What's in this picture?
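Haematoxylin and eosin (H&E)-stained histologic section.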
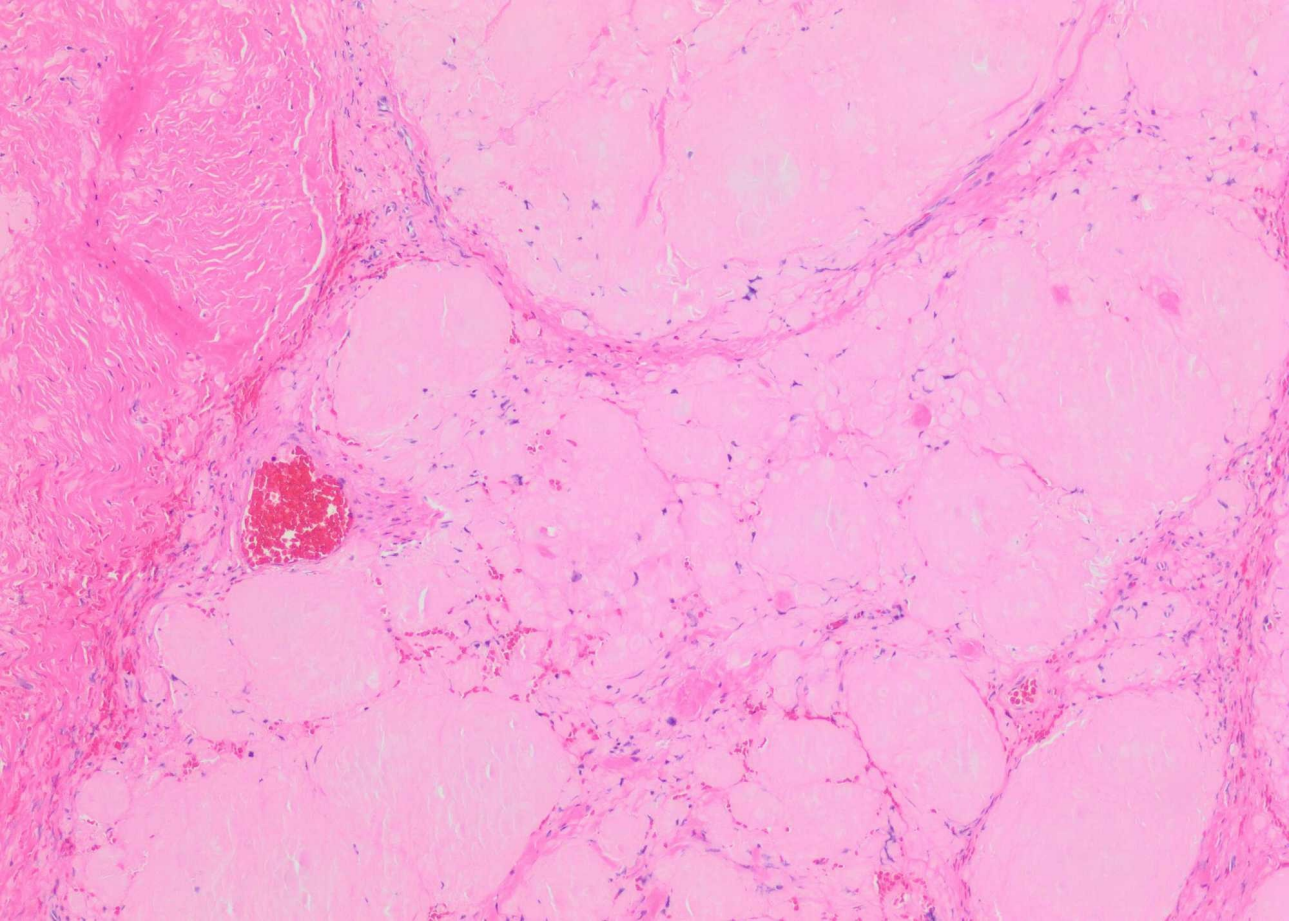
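The section is largely replaced by abundant amorphous eosinophilic material, seen as large rounded, nodular deposits of pale pink, homogeneous matter with few nuclei and occasional fine cracks. Thin, loose fibrous septa run between the nodules and carry scattered small spindle-shaped nuclei, small blood vessels and extravasated red cells. A vessel packed with red blood cells lies at the left edge of the nodules, beside a band of denser, deeper pink fibrous tissue.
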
